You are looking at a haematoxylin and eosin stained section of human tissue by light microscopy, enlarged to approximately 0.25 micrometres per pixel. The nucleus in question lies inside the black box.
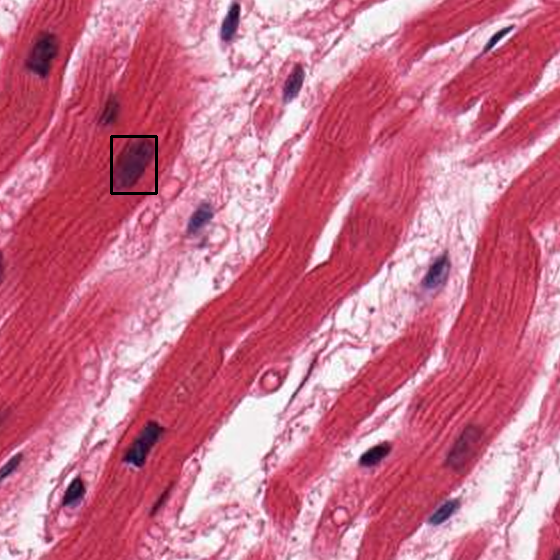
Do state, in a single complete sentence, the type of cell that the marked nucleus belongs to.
The nucleus picked out by the mark is that of a cardiomyocyte.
